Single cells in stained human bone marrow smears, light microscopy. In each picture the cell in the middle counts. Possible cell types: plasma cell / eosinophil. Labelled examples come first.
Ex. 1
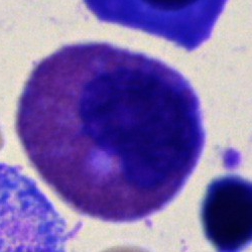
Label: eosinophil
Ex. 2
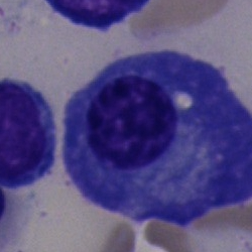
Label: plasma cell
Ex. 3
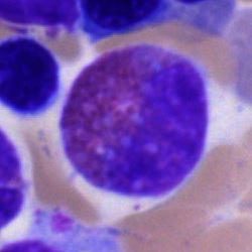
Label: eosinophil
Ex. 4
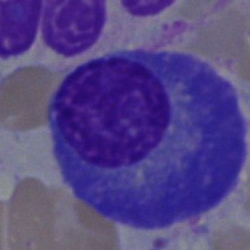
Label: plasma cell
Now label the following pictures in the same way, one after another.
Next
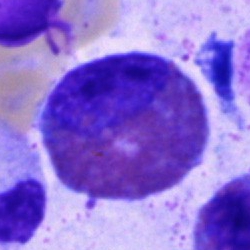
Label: eosinophil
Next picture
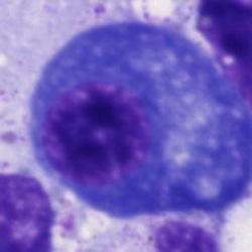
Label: plasma cell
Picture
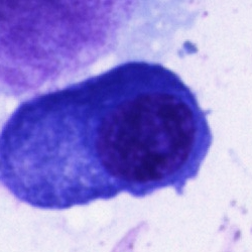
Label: plasma cell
